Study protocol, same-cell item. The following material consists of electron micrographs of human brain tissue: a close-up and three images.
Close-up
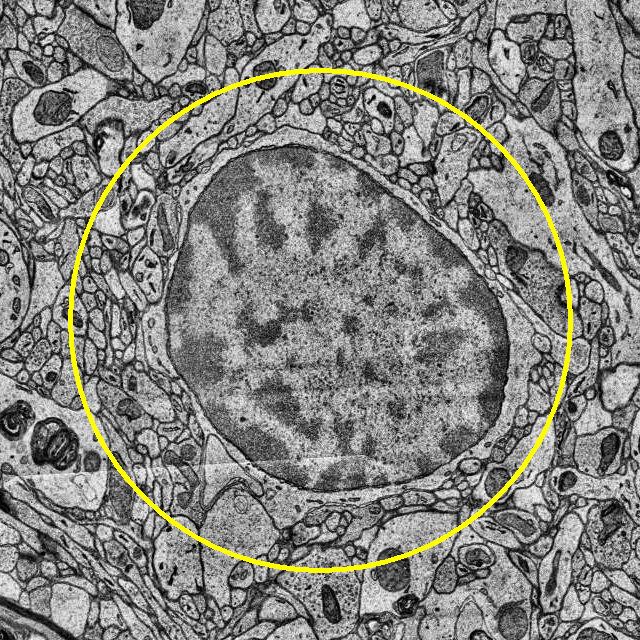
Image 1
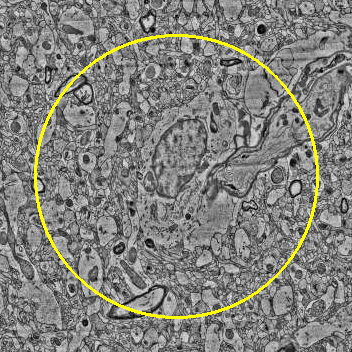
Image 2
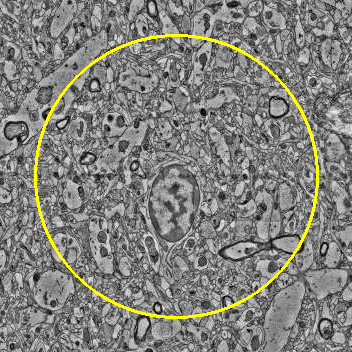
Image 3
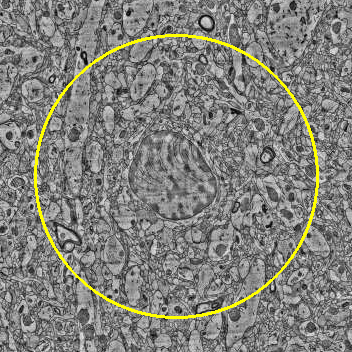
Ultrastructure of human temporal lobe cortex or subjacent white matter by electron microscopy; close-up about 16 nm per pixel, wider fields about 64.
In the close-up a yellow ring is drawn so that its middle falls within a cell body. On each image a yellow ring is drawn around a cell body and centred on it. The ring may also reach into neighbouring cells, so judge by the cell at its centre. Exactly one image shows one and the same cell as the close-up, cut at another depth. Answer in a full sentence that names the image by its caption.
The cell enlarged for the close-up is ringed in Image 3.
